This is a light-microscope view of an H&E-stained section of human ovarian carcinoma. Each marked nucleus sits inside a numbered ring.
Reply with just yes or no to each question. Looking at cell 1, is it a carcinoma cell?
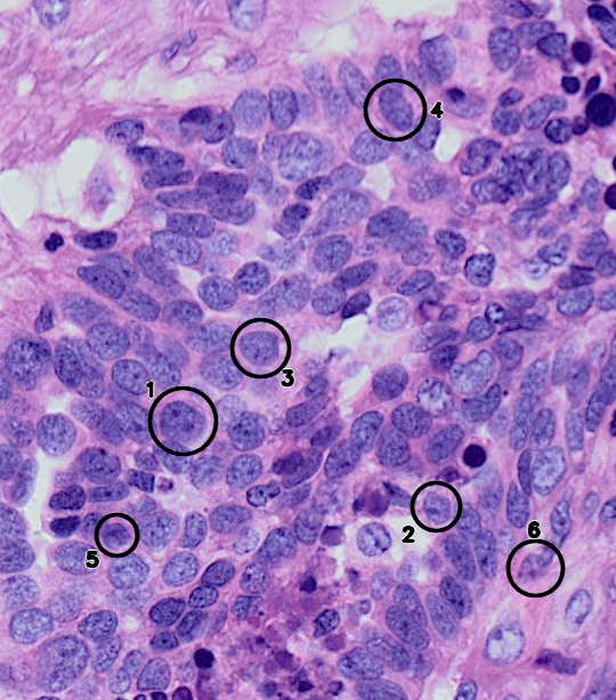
yes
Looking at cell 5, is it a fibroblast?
no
